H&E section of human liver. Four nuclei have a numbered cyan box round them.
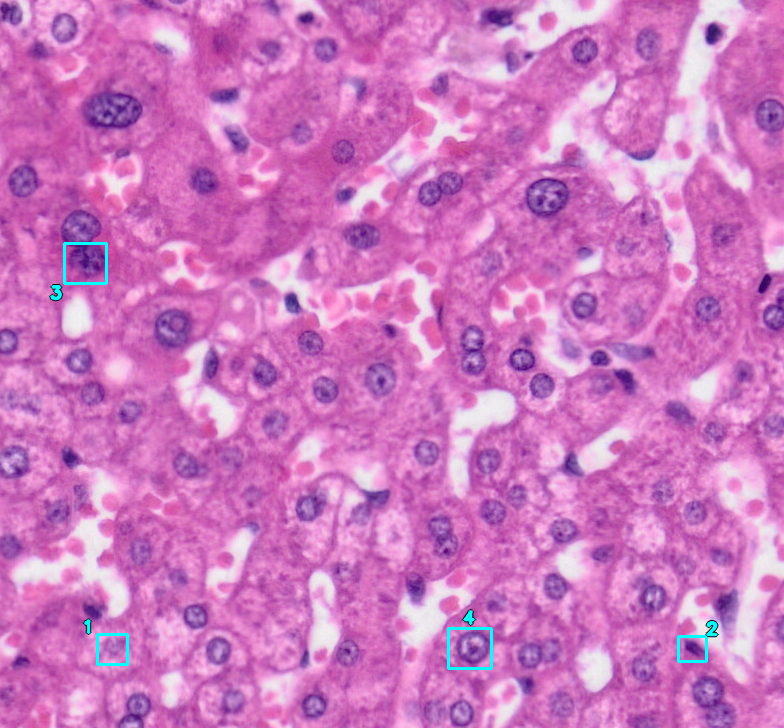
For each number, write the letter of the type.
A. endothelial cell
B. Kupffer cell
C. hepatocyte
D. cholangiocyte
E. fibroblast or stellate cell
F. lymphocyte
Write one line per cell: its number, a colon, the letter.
1: C
2: E
3: C
4: C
